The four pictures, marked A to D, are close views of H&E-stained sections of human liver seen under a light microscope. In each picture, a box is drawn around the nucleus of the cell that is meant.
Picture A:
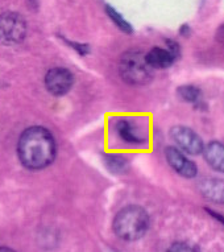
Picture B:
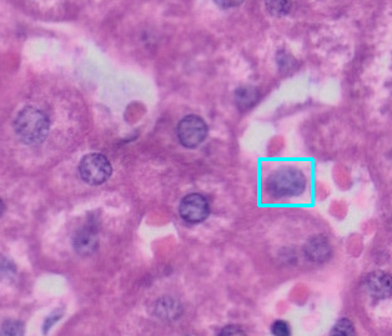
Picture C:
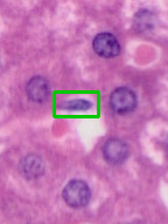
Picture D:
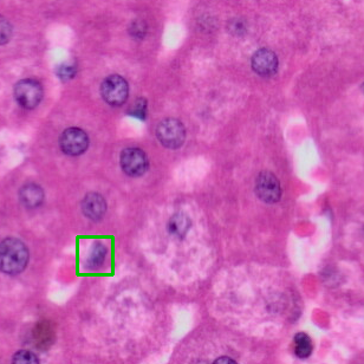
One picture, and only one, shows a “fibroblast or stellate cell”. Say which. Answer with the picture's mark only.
A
